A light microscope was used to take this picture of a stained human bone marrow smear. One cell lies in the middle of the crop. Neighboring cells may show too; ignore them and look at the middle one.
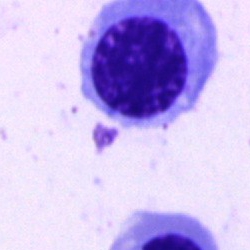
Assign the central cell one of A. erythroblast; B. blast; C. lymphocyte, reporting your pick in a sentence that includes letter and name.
For this crop, option A is right, the centered cell being an erythroblast.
